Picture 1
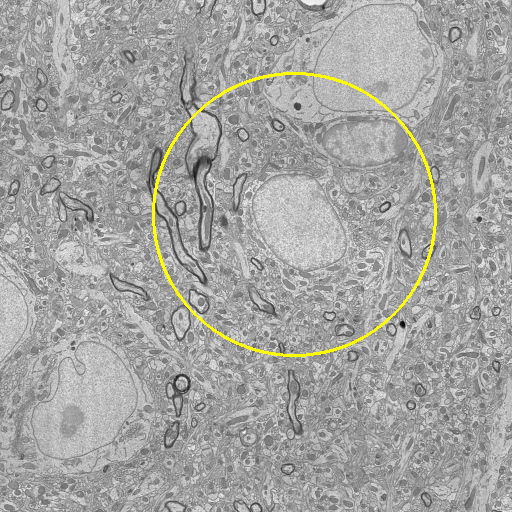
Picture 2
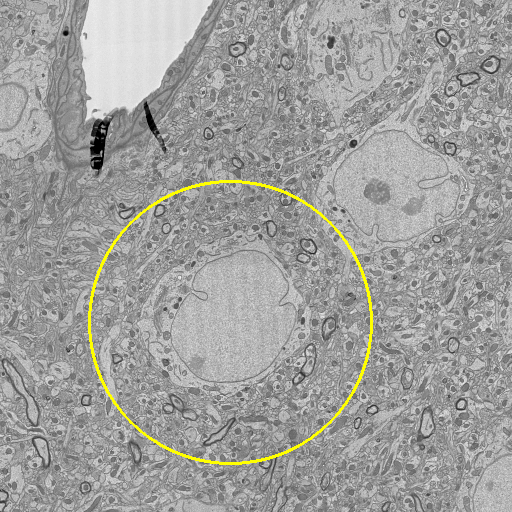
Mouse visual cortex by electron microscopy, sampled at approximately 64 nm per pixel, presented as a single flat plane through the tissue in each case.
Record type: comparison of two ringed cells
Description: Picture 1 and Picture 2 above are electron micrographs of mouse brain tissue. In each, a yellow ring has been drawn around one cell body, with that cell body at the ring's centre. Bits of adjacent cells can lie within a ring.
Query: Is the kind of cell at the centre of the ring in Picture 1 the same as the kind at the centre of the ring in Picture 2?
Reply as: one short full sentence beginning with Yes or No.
No, the two ringed cells are of two separate kinds.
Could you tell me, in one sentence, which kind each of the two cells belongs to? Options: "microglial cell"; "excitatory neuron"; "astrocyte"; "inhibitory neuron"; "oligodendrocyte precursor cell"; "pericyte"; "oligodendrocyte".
At the centre of the first ring sits an astrocyte, and at the centre of the second sits an excitatory neuron.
